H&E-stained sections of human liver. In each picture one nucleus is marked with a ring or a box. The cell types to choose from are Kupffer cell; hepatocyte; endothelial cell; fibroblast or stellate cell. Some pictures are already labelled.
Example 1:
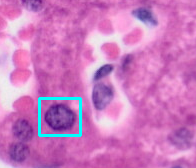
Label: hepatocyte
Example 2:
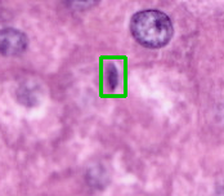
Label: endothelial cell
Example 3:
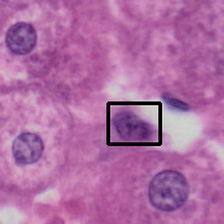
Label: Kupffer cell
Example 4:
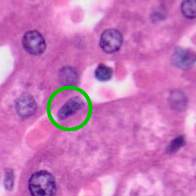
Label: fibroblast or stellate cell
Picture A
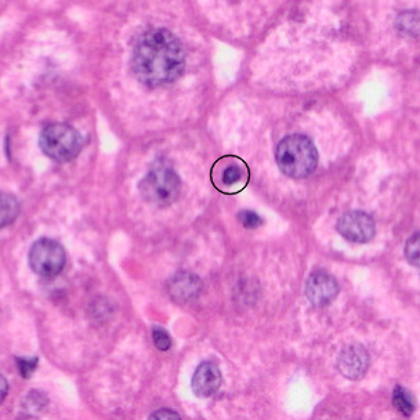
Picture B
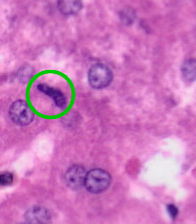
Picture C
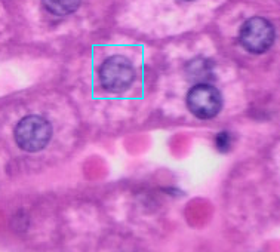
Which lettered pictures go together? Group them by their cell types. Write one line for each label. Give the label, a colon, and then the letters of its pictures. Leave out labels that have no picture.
hepatocyte: C
fibroblast or stellate cell: A, B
